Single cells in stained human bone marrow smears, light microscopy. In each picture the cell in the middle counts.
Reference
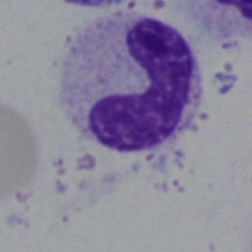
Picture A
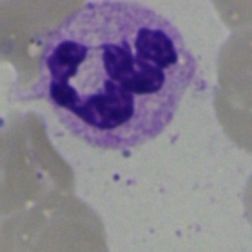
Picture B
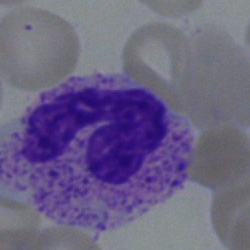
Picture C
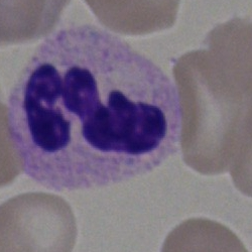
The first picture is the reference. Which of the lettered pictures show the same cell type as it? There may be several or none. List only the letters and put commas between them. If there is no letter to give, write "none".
B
